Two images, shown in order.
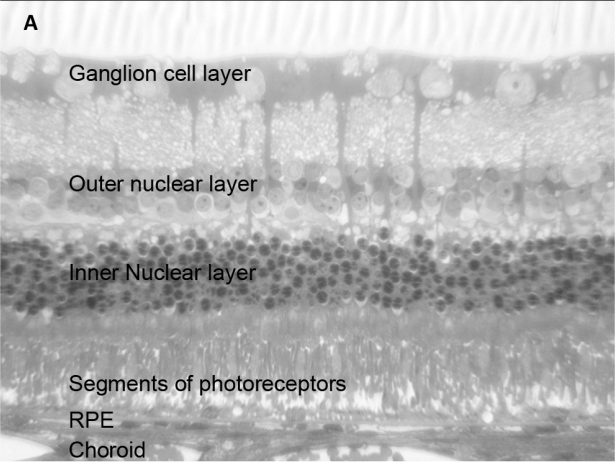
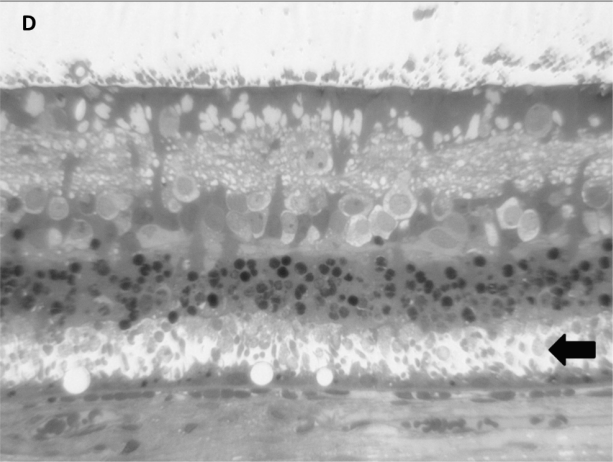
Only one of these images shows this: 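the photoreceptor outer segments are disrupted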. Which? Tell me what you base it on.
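Second image: the band above the pigmented layer is pale, fragmented and without regular striations. First image: the same band shows orderly parallel vertical striations. On this evidence: the second image.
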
